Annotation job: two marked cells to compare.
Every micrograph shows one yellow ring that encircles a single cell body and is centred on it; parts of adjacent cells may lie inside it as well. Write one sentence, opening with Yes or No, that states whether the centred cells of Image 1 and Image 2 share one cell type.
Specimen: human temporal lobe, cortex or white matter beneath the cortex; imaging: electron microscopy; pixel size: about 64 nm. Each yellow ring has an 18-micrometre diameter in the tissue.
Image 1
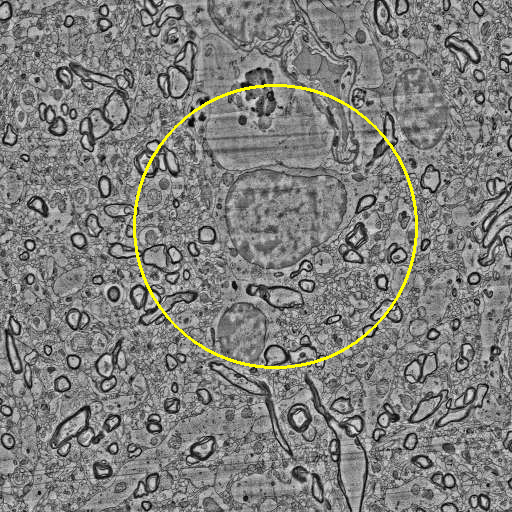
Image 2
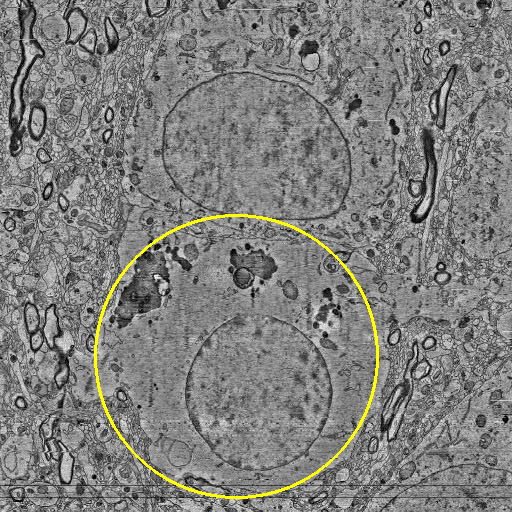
No, the cell centred in Image 1 and the cell centred in Image 2 are of two types.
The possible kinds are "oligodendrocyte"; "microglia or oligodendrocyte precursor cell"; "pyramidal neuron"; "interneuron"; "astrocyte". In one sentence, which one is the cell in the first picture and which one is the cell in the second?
The cell ringed in the second picture is an astrocyte, whereas the one ringed in the first is an oligodendrocyte.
